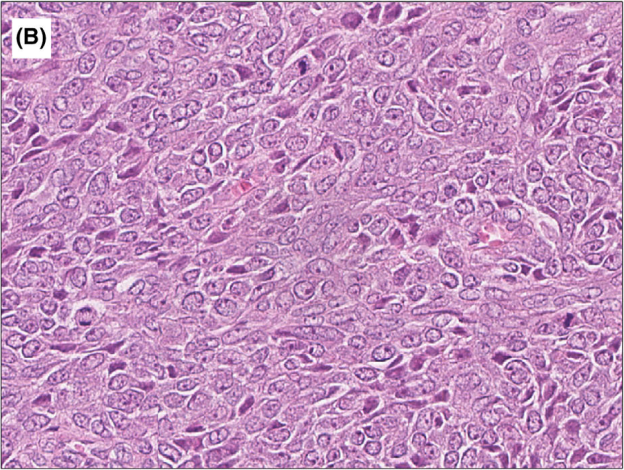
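The cytoplasm is pale pink and moderate in amount, and cell borders are faintly visible. A few nuclei are darker and more hyperchromatic. Small capillaries containing red blood cells run between the cells. No differentiated epithelial or cord-like arrangement is evident.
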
